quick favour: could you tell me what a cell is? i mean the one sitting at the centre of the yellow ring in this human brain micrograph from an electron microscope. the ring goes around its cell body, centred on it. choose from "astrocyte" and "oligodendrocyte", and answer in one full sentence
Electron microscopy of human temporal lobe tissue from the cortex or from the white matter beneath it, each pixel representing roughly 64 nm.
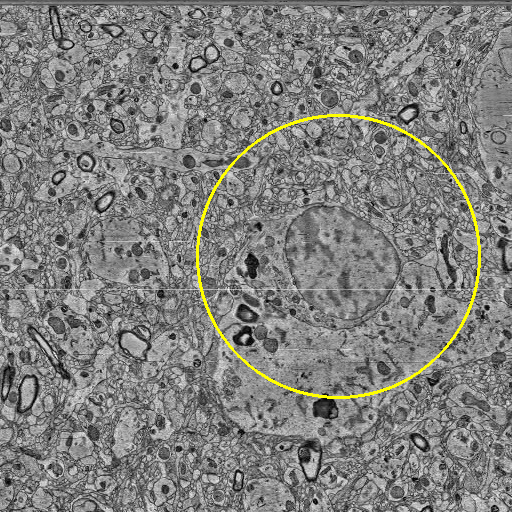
That's an oligodendrocyte, the cell sitting at the centre of the yellow ring.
